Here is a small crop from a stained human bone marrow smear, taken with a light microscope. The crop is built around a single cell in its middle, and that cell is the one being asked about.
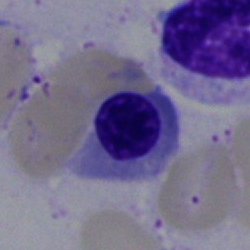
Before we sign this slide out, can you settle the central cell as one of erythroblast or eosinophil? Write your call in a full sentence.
As for the cell in the middle, it is an erythroblast.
